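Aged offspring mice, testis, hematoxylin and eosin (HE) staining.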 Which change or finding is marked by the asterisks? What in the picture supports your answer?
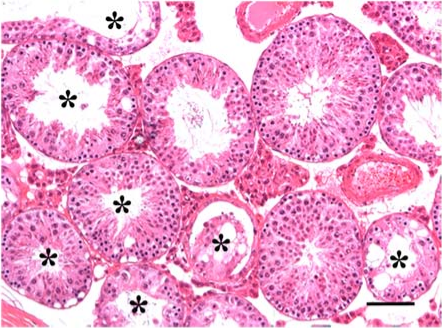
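Abnormal seminiferous tubule. Several marked tubules have a thinned, loosened epithelium with clear vacuoles. Unmarked tubules have a thick, densely layered epithelium.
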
